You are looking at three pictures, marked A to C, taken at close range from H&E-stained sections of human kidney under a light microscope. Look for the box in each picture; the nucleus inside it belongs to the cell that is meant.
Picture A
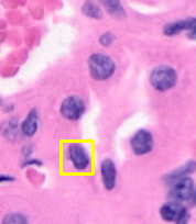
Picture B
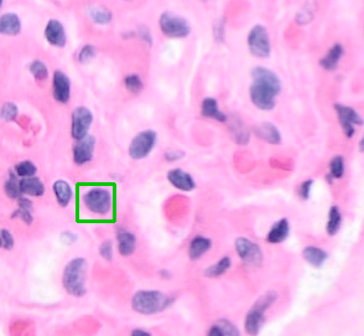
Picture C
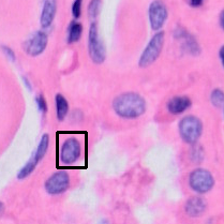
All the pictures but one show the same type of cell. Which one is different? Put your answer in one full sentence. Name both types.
The others show “loop of Henle or distal tubule cells”, but picture B shows an endothelial cell.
